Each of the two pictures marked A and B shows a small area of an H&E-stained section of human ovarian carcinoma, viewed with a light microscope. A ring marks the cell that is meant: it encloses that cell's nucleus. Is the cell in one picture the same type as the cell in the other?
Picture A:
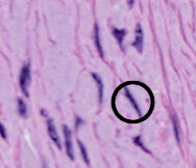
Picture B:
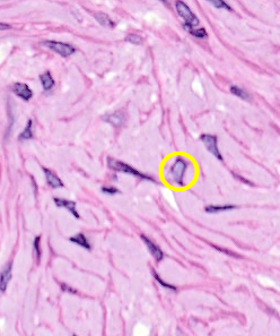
yes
